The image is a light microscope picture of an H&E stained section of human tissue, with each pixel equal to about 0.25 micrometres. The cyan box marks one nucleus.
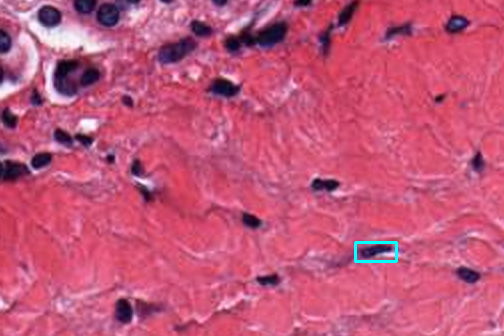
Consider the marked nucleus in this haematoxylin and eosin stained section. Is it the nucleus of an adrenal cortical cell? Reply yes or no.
no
